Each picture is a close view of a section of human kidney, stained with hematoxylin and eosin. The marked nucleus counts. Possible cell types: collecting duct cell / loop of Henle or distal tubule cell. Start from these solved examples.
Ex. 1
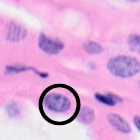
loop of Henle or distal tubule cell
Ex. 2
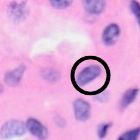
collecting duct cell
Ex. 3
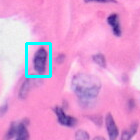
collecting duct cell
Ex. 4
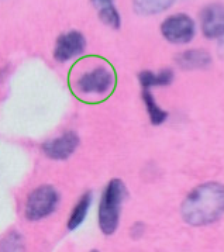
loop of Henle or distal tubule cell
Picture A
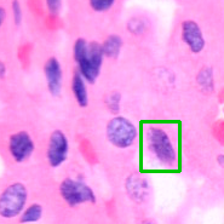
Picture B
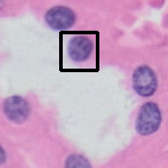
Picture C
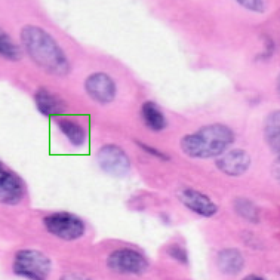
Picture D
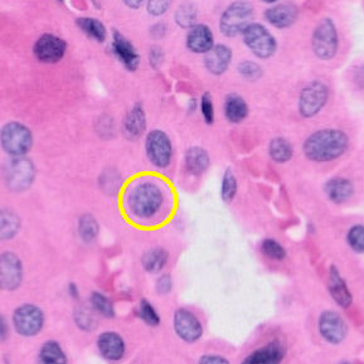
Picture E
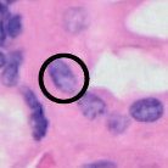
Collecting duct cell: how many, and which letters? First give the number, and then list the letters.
1, namely E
